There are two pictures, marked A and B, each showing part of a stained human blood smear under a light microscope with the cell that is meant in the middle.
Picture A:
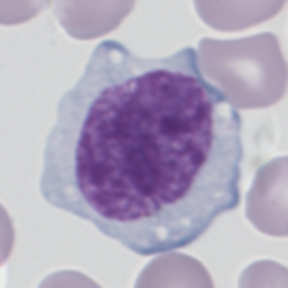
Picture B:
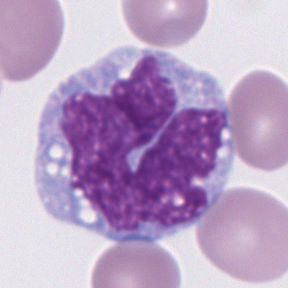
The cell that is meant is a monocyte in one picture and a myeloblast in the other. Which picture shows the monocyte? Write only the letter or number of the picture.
B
